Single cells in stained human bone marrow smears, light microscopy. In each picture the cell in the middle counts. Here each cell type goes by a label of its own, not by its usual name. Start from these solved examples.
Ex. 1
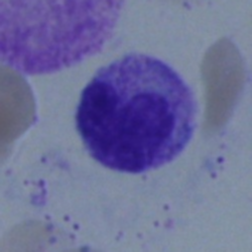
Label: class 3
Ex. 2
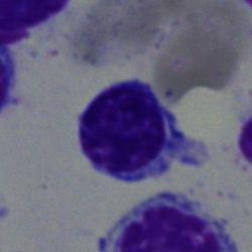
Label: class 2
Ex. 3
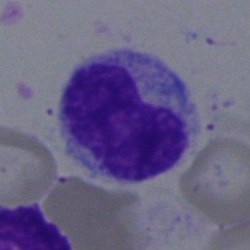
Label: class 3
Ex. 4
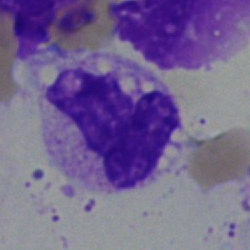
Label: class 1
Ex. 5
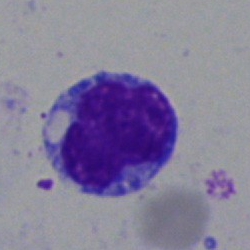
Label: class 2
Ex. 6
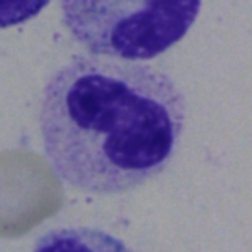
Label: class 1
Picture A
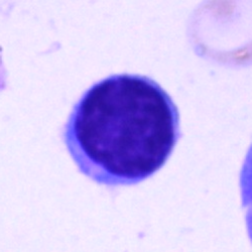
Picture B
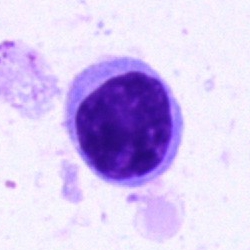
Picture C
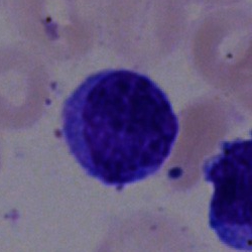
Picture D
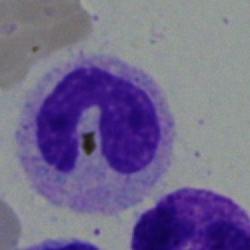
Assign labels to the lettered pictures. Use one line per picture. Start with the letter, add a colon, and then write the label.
A: class 2
B: class 2
C: class 2
D: class 1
